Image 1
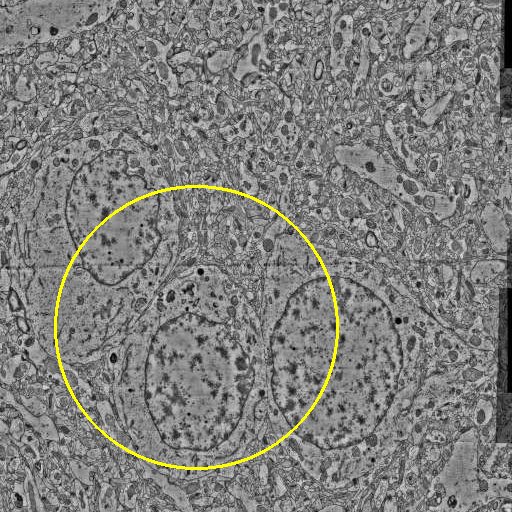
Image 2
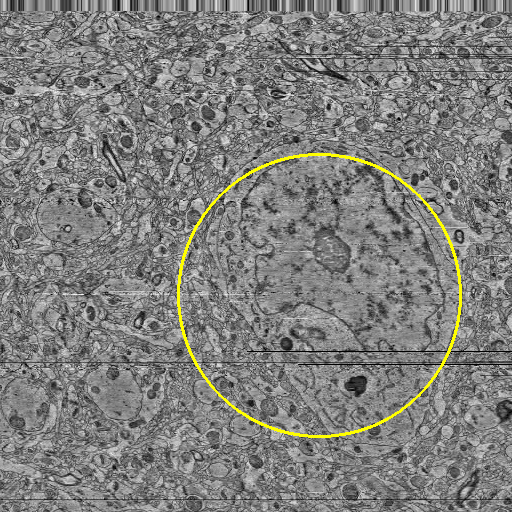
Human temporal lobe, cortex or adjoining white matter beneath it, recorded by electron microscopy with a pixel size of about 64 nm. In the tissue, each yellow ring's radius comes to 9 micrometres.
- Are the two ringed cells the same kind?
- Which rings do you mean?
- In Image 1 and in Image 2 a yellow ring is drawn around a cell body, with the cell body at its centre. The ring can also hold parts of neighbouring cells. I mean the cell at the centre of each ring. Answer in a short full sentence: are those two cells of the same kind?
No, the cells are of two kinds.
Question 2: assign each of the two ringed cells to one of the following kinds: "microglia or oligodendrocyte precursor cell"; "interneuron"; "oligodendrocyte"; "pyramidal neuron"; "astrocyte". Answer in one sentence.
The two cells are a pyramidal neuron in the first picture and an interneuron in the second.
